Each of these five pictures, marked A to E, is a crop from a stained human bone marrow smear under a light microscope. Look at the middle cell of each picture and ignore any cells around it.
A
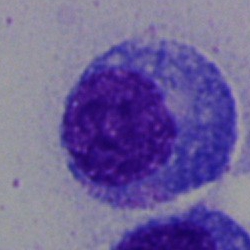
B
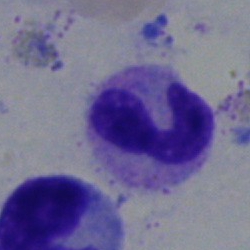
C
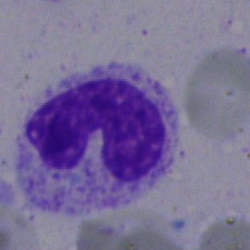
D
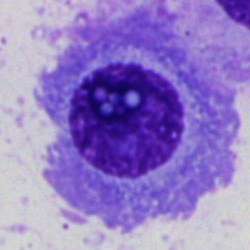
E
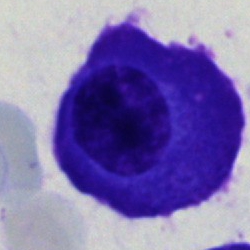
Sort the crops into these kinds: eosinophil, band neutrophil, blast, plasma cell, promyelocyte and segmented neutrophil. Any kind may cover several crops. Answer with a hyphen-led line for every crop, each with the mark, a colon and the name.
- A: promyelocyte
- B: segmented neutrophil
- C: band neutrophil
- D: plasma cell
- E: plasma cell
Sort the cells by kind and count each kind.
plasma cell: 2
promyelocyte: 1
segmented neutrophil: 1
band neutrophil: 1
